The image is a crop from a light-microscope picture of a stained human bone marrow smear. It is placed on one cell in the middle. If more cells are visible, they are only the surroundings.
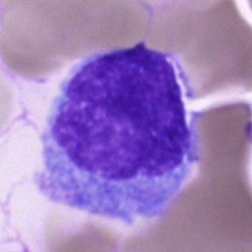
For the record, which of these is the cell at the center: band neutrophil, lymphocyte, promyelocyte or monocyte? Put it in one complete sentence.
As for the central cell, it is a monocyte.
